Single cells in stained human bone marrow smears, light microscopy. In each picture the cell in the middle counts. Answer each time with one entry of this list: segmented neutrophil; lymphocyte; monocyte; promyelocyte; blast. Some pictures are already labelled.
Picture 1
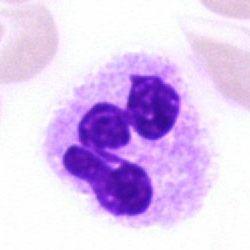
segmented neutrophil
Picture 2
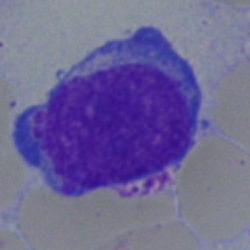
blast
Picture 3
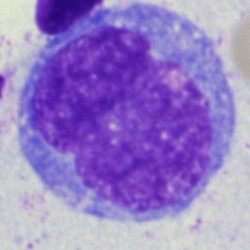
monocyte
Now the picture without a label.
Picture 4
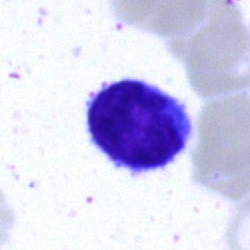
lymphocyte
